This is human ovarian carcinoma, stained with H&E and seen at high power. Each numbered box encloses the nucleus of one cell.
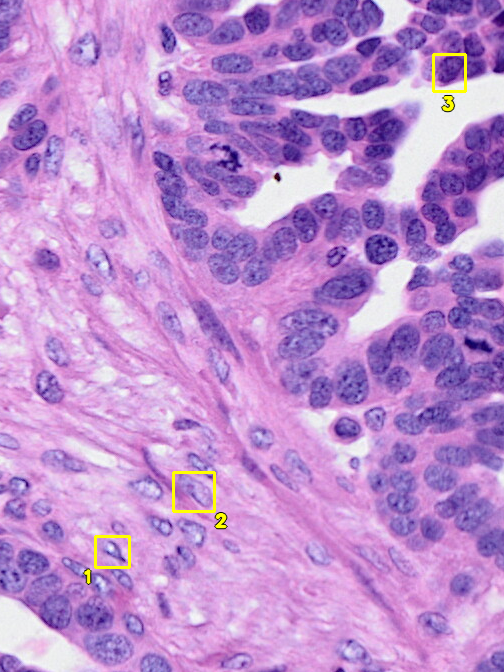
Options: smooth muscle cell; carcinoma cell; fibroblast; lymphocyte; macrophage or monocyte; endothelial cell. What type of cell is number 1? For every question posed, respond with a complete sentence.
Cell 1 should be recorded as a fibroblast.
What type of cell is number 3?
Numbered cell 3 is a carcinoma cell in this tissue section.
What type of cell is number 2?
Cell 2 should be recorded as a fibroblast.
